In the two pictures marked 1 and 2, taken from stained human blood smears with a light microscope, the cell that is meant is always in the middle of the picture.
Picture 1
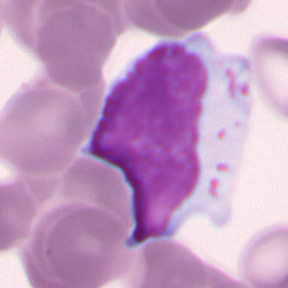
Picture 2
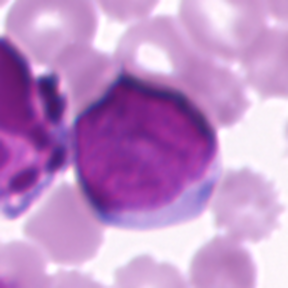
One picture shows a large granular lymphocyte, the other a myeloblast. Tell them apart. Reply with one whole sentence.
It is picture 1 that shows a large granular lymphocyte, and picture 2 that shows a myeloblast.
